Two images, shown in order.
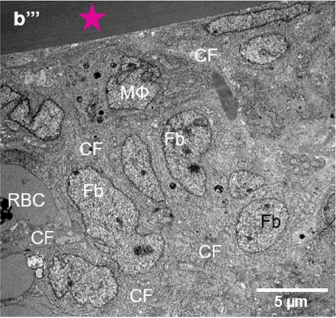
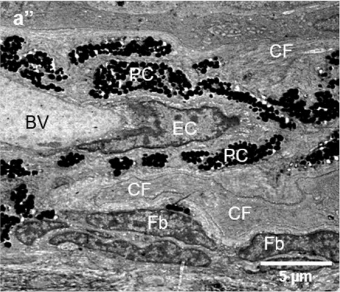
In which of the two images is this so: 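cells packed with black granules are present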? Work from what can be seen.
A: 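The second image. Second image: several cells are crammed with dense black granules around the vessel.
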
